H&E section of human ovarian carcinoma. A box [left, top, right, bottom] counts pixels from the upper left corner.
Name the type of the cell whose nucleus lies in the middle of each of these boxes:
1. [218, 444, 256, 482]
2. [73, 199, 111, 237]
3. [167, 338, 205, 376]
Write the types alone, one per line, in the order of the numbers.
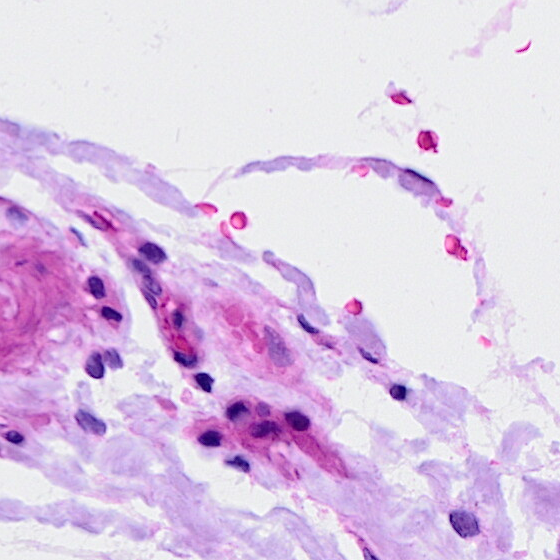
fibroblast
endothelial cell
endothelial cell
